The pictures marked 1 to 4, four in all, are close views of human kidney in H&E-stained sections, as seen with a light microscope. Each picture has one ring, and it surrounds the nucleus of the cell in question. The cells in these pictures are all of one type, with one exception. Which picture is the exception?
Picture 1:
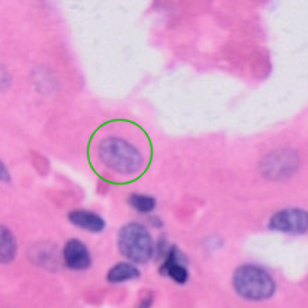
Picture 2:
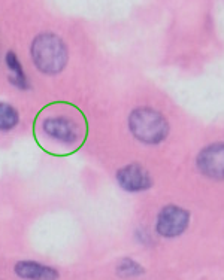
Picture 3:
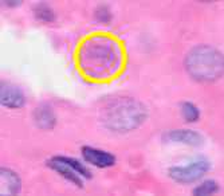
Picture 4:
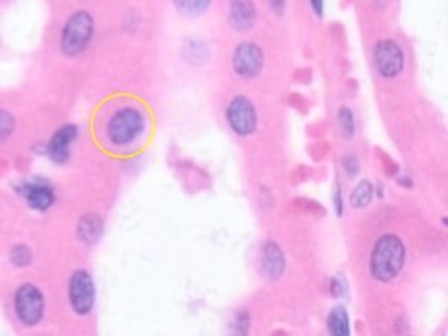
1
